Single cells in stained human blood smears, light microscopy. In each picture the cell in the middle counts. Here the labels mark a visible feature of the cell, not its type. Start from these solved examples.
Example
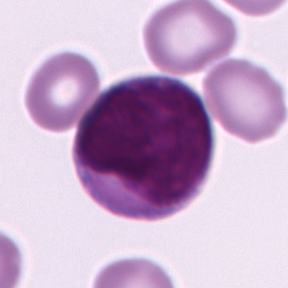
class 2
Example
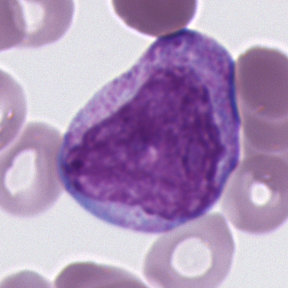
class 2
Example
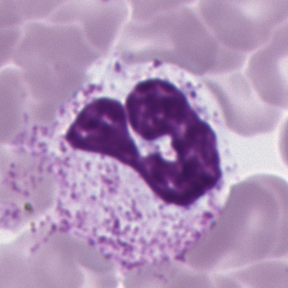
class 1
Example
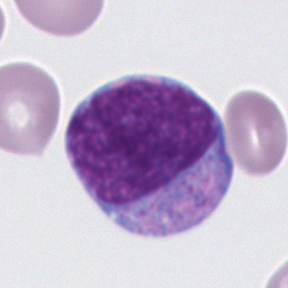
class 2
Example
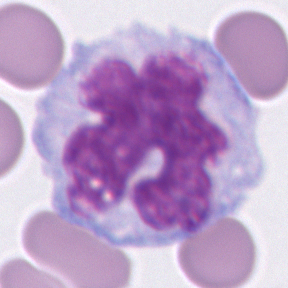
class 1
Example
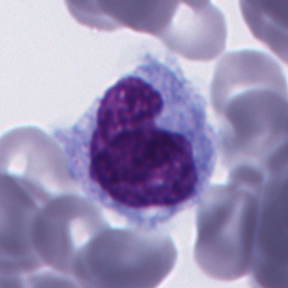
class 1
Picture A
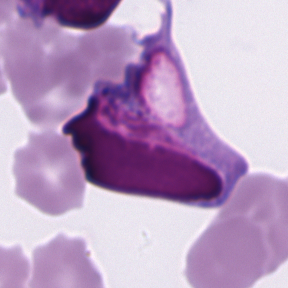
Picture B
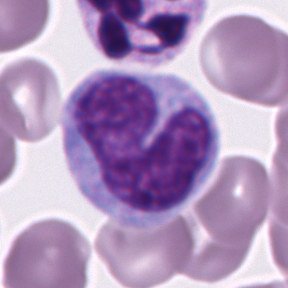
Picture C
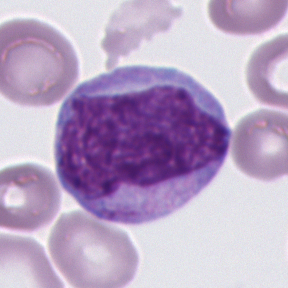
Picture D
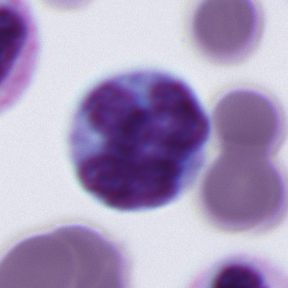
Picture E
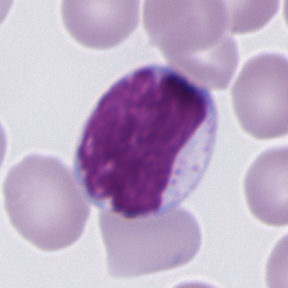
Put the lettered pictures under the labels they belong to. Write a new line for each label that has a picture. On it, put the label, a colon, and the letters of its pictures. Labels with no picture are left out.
class 2: B, C, D, E
class 1: A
